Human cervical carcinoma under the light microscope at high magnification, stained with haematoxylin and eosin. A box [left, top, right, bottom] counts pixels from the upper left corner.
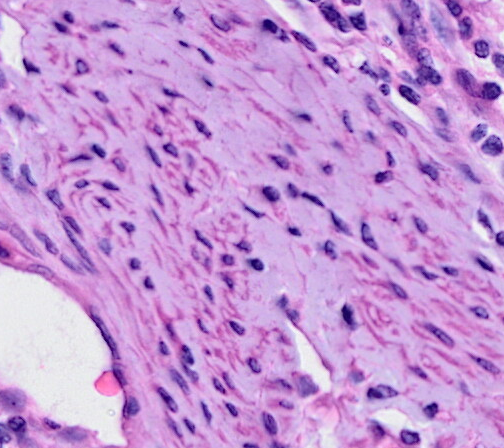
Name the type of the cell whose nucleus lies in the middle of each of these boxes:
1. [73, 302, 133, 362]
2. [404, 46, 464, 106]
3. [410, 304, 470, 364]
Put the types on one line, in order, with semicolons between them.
endothelial cell; lymphocyte; smooth muscle cell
